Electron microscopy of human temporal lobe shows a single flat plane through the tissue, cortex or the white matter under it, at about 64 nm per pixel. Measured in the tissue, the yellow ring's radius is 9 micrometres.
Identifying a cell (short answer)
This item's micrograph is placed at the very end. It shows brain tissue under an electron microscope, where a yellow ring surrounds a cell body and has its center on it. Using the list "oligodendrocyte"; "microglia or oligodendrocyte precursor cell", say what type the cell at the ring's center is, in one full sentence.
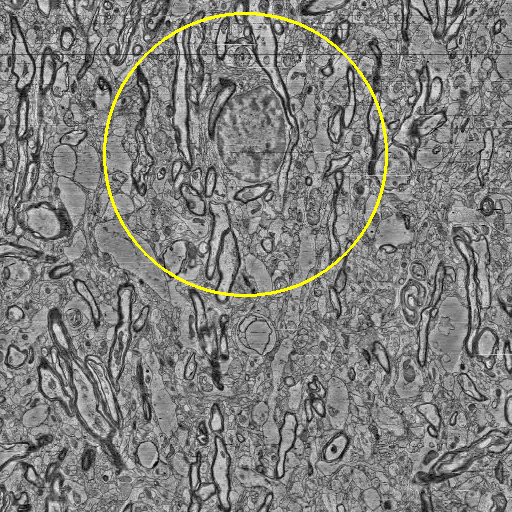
This picture shows an oligodendrocyte at the center of the yellow ring drawn on it.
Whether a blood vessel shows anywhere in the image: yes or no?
No, there is no blood vessel in the image.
